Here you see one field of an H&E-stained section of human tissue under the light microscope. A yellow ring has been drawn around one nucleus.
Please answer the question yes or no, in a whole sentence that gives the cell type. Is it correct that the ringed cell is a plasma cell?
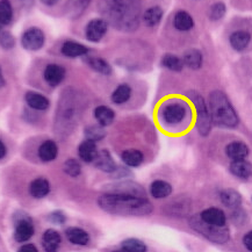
Yes, the ringed cell is properly regarded as a plasma cell.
